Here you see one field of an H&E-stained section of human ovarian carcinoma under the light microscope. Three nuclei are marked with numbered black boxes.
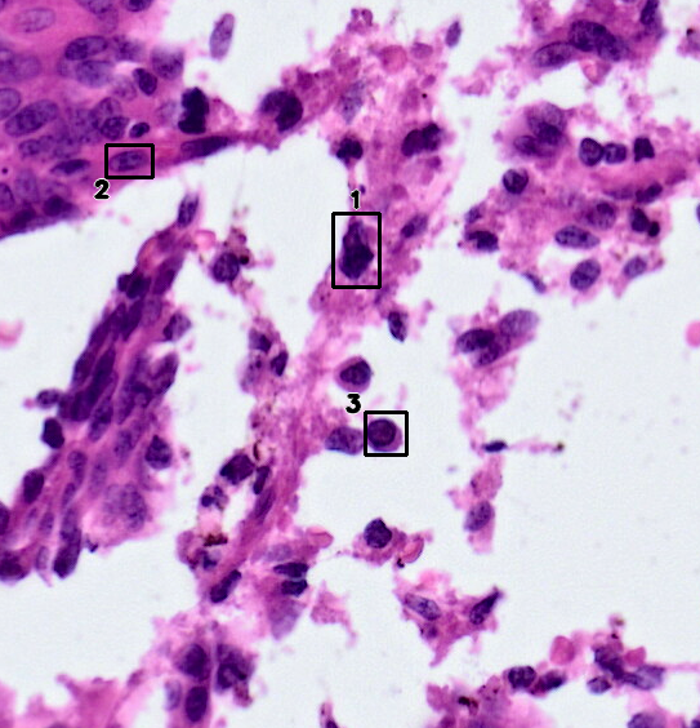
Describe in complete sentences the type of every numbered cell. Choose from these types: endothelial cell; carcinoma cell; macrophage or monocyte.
Cells 1 and 3 are carcinoma cells. Cell 2 is an endothelial cell.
